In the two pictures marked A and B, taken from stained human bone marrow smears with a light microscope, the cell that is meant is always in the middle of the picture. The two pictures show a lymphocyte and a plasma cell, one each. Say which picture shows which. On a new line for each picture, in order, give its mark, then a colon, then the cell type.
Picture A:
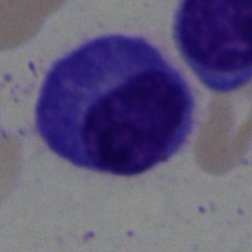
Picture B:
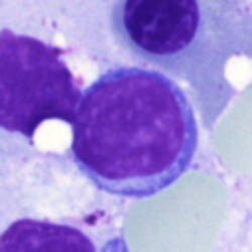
A: plasma cell
B: lymphocyte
